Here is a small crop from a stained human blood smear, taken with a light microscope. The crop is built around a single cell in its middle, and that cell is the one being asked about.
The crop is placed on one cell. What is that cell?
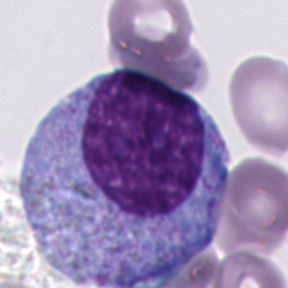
promyelocyte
